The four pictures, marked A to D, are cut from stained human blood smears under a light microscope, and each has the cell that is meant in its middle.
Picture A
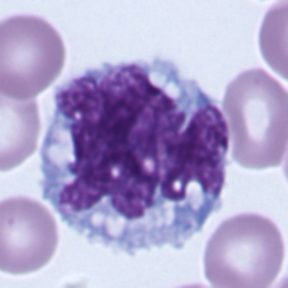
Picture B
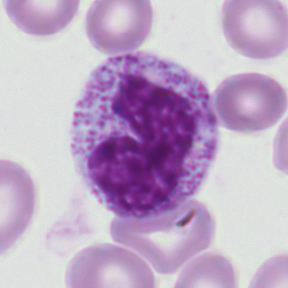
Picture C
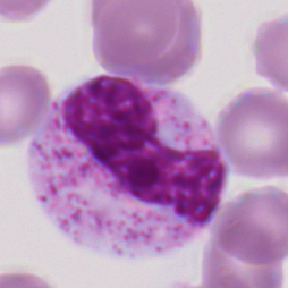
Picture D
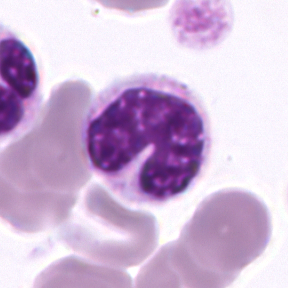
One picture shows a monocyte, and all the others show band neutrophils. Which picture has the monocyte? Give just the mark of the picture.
A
